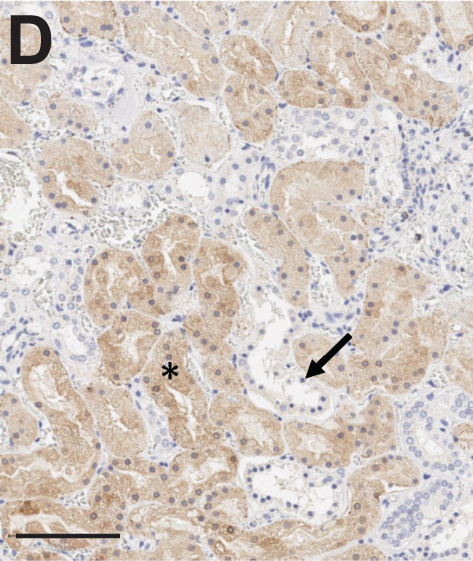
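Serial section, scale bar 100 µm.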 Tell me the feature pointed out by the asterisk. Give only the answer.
renal tubules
